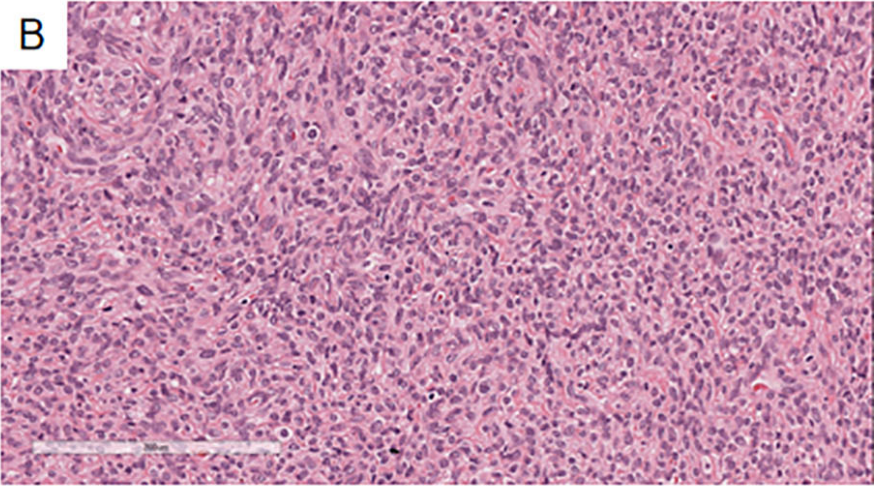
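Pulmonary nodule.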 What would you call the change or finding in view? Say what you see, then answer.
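Densely packed cells with oval to elongated nuclei. Scant pink cytoplasm between nuclei. That points to this answer: oval or spindle-shaped.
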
